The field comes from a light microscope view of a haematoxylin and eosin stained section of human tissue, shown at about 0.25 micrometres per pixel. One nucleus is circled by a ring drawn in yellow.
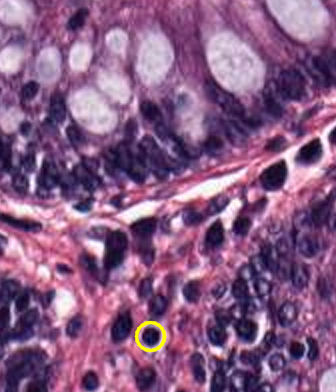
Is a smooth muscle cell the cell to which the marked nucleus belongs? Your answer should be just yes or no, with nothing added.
no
